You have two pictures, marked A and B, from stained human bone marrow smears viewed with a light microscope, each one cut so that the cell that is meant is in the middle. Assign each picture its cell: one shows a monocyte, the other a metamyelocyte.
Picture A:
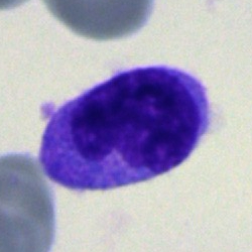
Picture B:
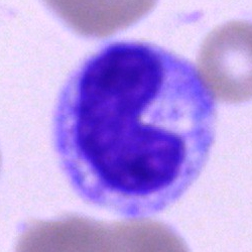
A: monocyte
B: metamyelocyte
